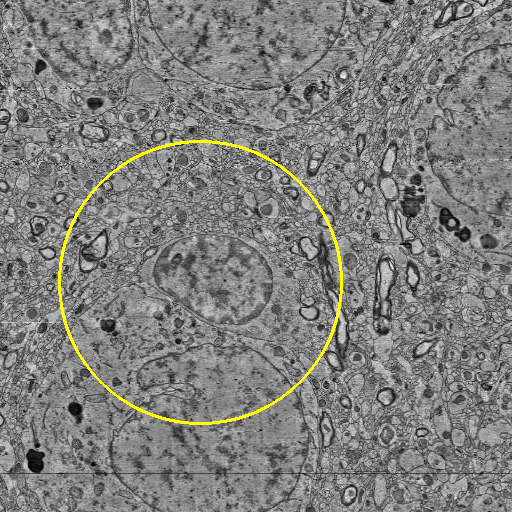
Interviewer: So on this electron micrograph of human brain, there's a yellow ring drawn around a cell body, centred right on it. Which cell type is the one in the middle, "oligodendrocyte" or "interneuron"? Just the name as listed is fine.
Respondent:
oligodendrocyte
